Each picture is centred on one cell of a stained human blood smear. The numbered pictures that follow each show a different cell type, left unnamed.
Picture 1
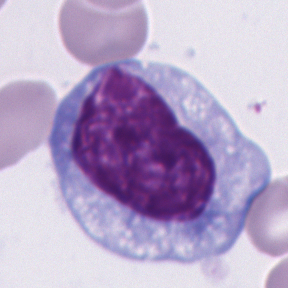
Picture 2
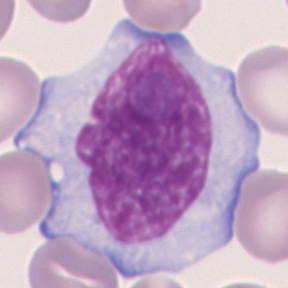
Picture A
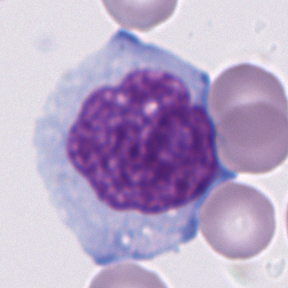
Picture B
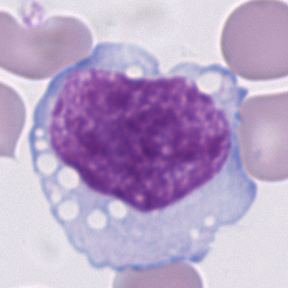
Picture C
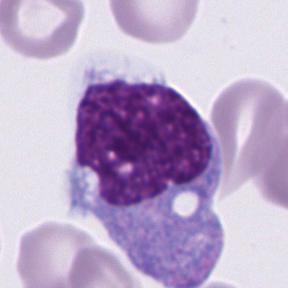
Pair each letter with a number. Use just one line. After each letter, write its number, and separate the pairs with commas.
A 2, B 2, C 1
